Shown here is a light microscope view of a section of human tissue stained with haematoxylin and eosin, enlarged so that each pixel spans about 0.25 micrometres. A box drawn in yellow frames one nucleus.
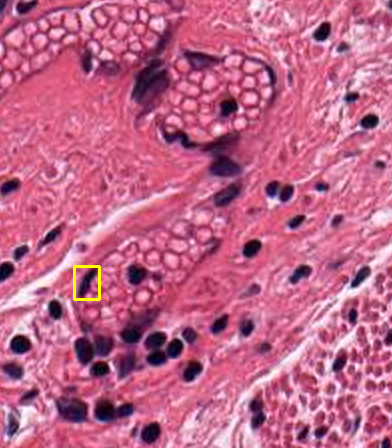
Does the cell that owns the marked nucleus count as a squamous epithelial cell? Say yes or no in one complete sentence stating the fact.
No, the marked nucleus sits in a supporting cell; a squamous epithelial cell does not contain it.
